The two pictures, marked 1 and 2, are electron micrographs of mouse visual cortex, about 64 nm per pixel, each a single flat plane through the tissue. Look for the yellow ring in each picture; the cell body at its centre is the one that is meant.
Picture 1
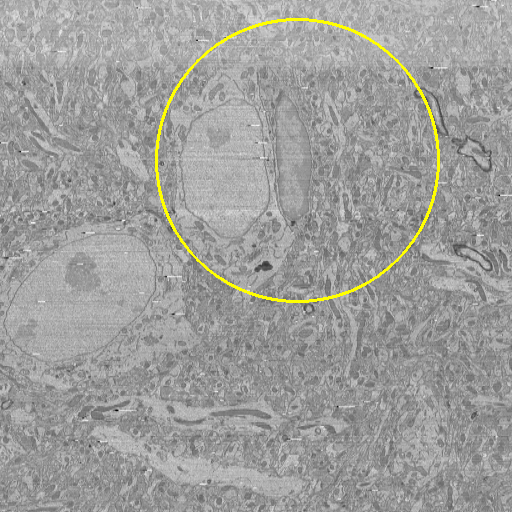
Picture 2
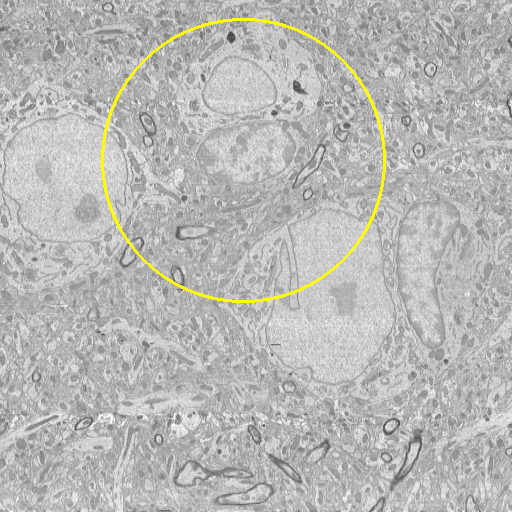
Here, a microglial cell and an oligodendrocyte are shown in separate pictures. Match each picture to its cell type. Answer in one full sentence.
Picture 1 is of a microglial cell, and picture 2 is of an oligodendrocyte.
